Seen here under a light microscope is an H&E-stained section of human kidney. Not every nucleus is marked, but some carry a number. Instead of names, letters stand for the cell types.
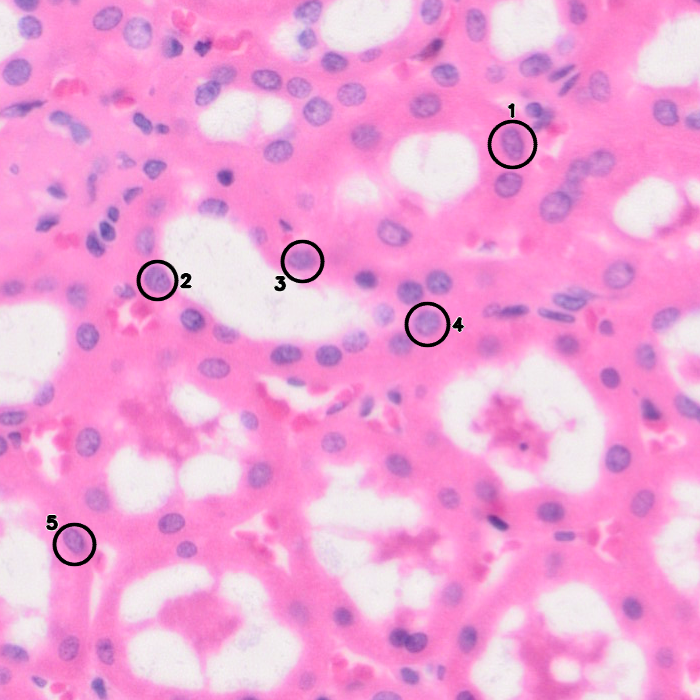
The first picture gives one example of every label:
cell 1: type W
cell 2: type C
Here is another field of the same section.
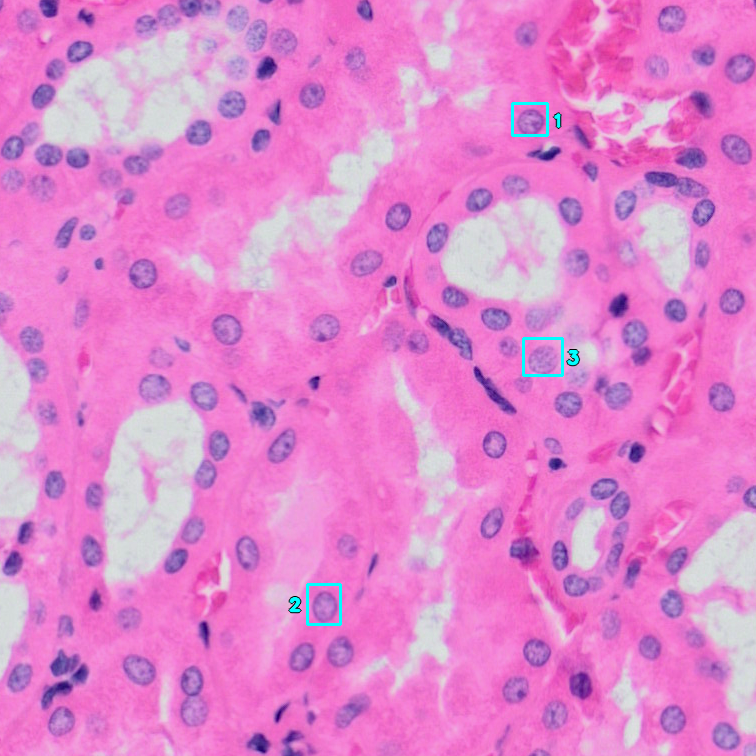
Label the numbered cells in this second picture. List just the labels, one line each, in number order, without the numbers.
type W
type W
type C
